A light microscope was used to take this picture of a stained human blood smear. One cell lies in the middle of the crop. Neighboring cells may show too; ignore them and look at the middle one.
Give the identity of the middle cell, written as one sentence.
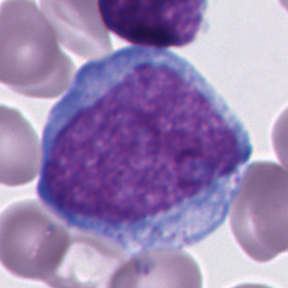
The central cell in this smear crop is a promyelocyte.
